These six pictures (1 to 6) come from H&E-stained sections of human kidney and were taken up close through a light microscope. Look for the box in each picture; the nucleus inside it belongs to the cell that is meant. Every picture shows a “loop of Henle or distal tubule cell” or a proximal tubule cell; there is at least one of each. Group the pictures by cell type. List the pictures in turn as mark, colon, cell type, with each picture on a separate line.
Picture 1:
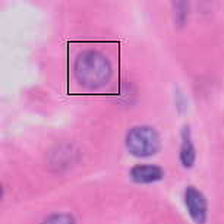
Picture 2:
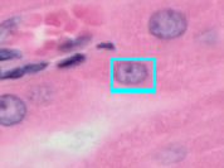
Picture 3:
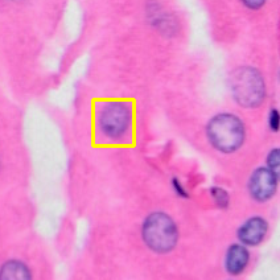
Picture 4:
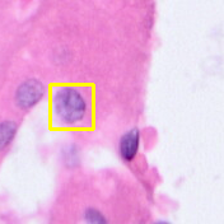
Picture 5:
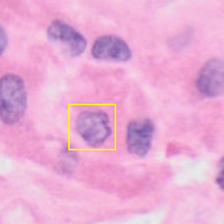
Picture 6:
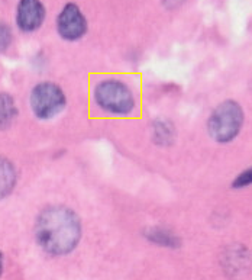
1: proximal tubule cell
2: proximal tubule cell
3: proximal tubule cell
4: loop of Henle or distal tubule cell
5: proximal tubule cell
6: loop of Henle or distal tubule cell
